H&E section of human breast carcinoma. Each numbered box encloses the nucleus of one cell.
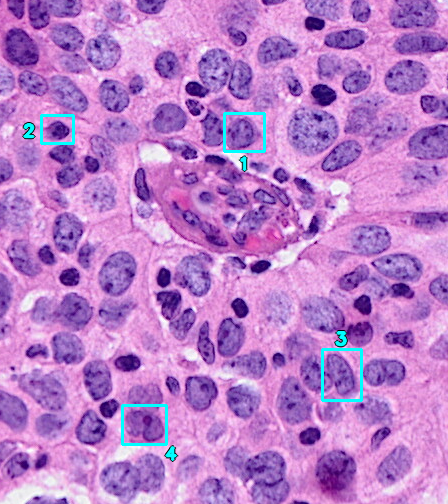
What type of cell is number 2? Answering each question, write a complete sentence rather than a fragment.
The cell to which the number 2 is assigned is a lymphocyte.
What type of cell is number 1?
The cell that bears the number 1 is a carcinoma cell.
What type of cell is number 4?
Cell 4 in the field of view is a carcinoma cell.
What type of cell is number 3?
Cell 3 in the field is a carcinoma cell.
